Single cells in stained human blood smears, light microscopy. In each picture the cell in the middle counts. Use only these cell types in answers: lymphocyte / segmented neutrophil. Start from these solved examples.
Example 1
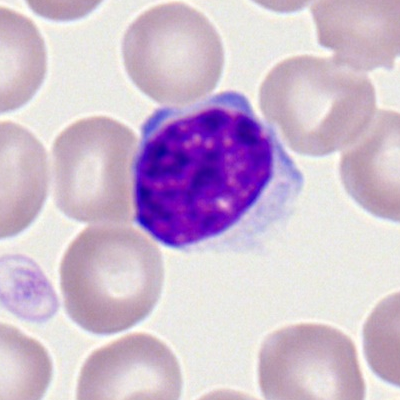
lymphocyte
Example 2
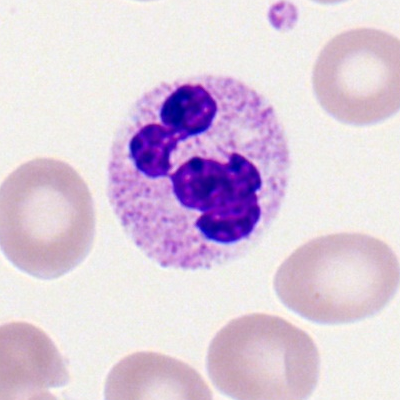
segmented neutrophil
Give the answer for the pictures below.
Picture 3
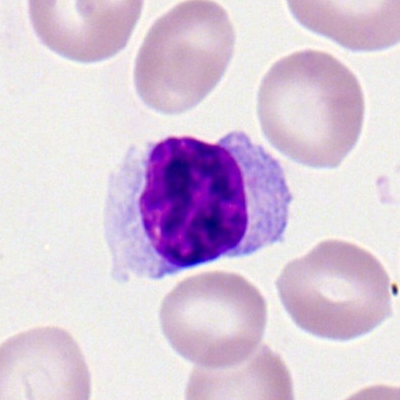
lymphocyte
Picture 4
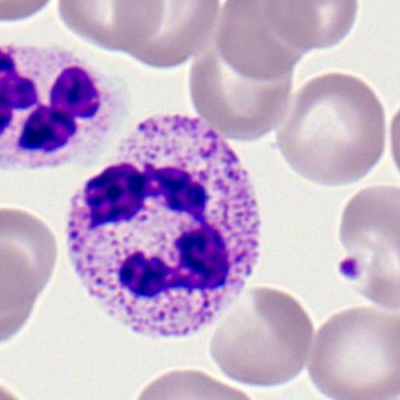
segmented neutrophil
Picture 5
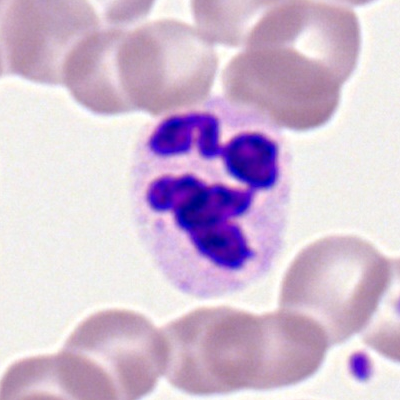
segmented neutrophil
